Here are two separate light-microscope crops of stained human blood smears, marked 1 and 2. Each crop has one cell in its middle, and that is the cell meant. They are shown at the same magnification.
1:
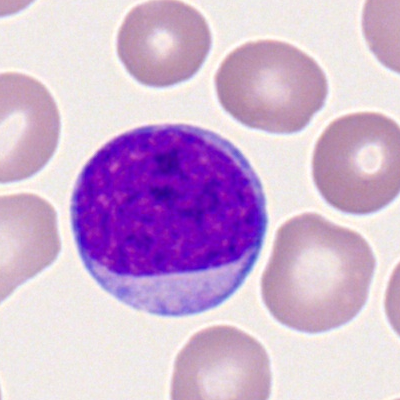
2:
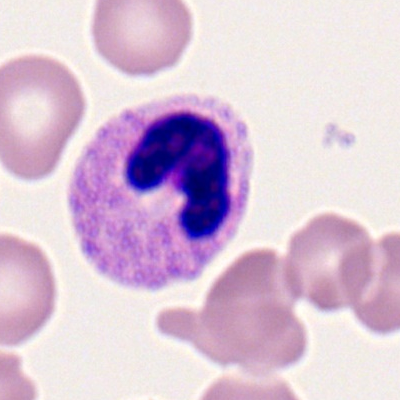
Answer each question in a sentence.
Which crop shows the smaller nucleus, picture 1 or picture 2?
Picture 2 shows the smaller nucleus, since that in picture 1 covers about 2.5 times as much area.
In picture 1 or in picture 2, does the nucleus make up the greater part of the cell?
Of the two, the nucleus in picture 1 makes up the greater part of its cell.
